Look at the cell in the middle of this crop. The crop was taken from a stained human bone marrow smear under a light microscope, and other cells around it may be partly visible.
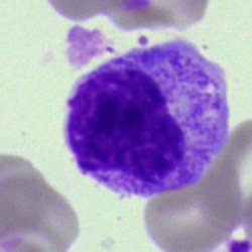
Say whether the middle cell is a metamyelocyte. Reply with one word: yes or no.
no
